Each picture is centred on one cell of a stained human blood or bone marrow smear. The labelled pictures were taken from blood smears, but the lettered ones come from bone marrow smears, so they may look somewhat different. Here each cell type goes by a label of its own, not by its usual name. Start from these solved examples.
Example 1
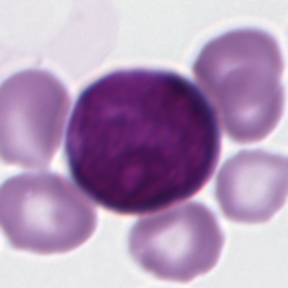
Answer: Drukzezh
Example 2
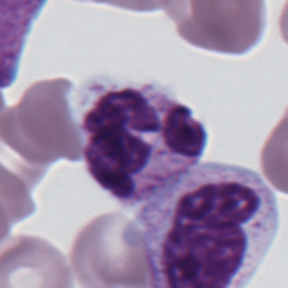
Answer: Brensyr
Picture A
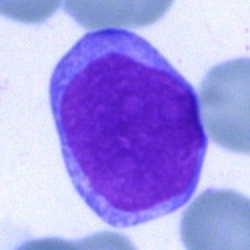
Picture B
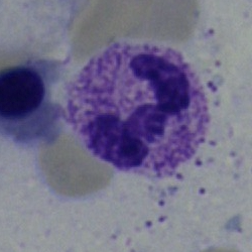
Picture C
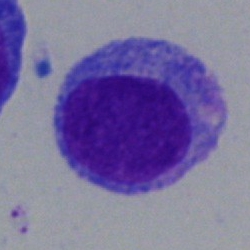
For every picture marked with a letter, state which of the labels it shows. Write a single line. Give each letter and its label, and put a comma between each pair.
A Drukzezh, B Brensyr, C Drukzezh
